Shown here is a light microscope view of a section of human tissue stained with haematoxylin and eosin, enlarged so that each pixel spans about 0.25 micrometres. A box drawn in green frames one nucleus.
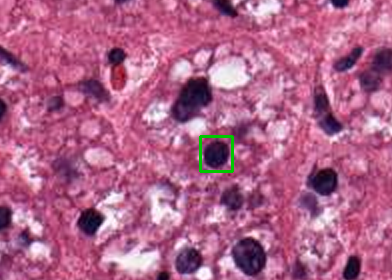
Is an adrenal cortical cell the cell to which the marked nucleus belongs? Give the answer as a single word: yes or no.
yes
